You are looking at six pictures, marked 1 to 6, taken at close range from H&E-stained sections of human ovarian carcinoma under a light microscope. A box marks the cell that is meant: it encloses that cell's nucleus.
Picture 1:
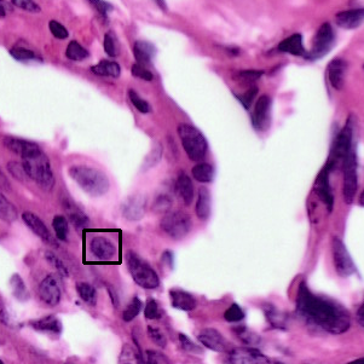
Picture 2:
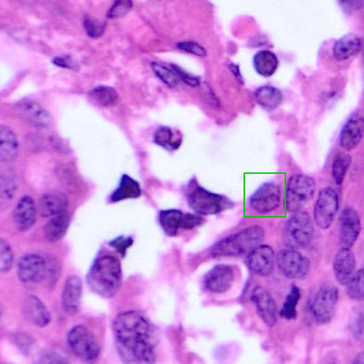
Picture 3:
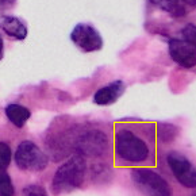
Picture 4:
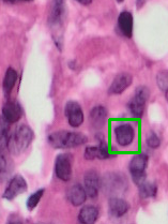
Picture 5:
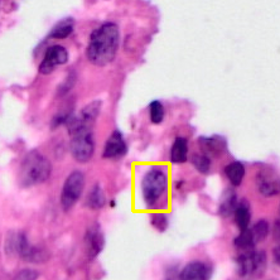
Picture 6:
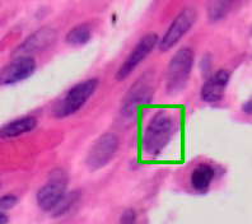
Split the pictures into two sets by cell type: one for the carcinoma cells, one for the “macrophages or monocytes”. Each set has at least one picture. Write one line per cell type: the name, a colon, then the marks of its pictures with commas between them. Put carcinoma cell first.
carcinoma cell: 2, 3
macrophage or monocyte: 1, 4, 5, 6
